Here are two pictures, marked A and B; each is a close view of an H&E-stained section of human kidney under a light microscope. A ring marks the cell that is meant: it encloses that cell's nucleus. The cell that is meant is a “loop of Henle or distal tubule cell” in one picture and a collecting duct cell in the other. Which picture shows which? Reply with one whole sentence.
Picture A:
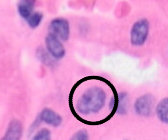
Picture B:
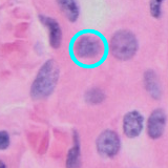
The cell in picture A is a collecting duct cell, and the one in picture B is a “loop of Henle or distal tubule cell”.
